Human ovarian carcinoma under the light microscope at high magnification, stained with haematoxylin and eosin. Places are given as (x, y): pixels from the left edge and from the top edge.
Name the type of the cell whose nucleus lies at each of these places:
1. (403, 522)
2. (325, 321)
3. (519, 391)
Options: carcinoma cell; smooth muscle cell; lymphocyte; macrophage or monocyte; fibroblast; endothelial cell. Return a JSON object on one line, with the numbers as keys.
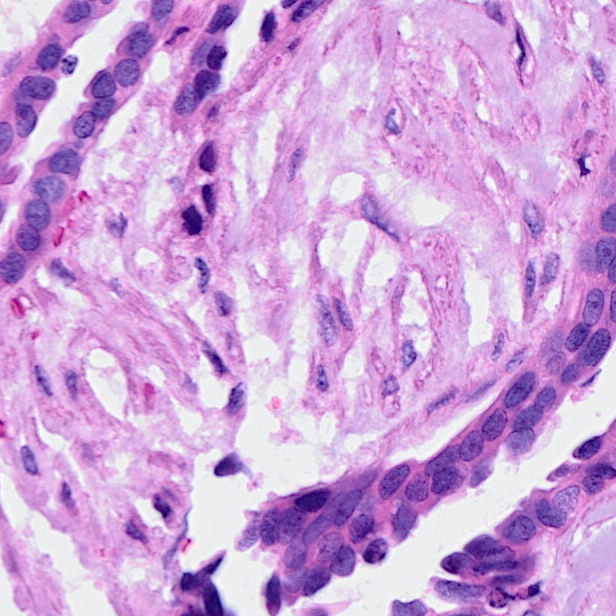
{"1": "carcinoma cell", "2": "fibroblast", "3": "carcinoma cell"}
